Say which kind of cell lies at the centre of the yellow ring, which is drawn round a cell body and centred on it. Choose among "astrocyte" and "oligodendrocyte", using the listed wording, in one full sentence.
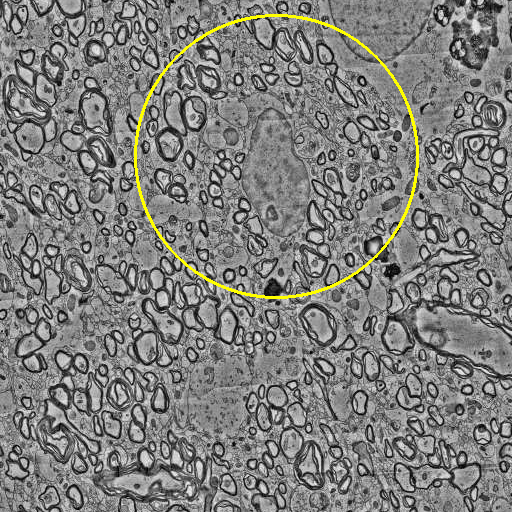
Going by the list, the cell at the yellow ring's centre is an oligodendrocyte.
